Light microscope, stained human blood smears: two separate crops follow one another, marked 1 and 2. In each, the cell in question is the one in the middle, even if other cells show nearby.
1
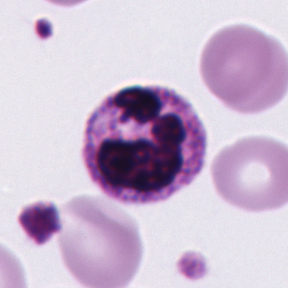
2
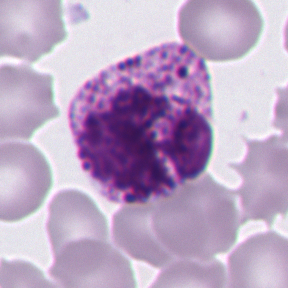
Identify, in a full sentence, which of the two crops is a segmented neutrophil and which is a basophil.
The crop marked 1 shows a segmented neutrophil; the crop marked 2 shows a basophil.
